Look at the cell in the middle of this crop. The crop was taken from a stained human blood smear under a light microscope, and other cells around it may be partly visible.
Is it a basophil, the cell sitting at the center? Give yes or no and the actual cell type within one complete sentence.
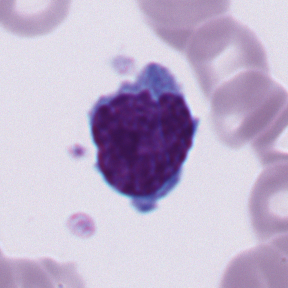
No, the cell in the centre is a typical lymphocyte instead of a basophil.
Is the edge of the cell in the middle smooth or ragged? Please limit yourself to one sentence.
Irregular and not smooth, the cell boundary is ragged or drawn out into projections.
